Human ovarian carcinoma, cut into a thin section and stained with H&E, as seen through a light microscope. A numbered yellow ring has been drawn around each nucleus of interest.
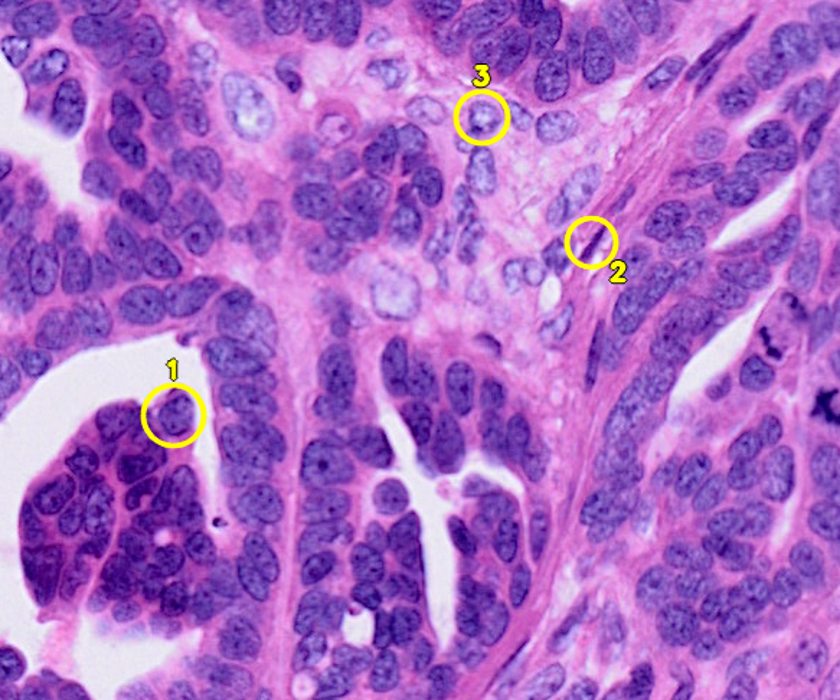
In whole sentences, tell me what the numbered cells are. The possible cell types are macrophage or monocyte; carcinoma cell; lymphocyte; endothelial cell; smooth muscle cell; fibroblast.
Cell 1 is a carcinoma cell, cell 2 is a fibroblast and cell 3 is a fibroblast.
